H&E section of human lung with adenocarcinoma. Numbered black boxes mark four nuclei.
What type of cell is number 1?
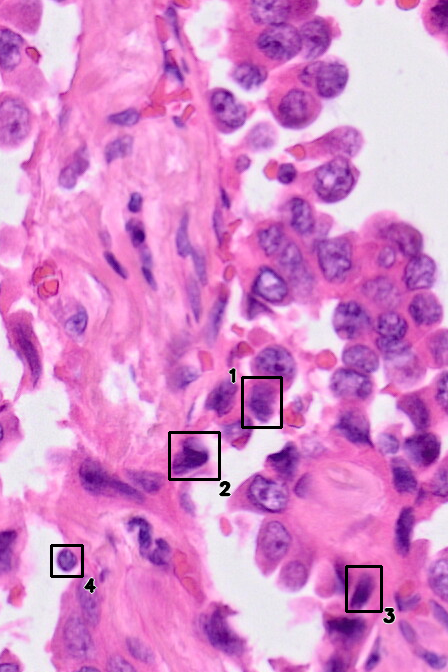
carcinoma cell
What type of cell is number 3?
carcinoma cell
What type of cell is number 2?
carcinoma cell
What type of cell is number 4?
lymphocyte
